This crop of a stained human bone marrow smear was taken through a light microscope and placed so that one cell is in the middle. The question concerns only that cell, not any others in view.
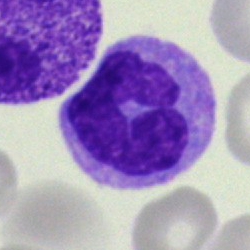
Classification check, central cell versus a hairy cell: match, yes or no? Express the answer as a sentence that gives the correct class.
No, the central cell is not to be called a hairy cell, being a monocyte.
